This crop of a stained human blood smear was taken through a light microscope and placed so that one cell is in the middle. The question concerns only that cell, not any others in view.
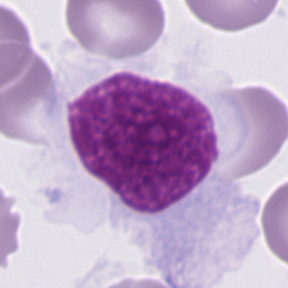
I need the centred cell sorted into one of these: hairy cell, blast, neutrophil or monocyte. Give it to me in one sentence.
This particular crop is centered on a hairy cell.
